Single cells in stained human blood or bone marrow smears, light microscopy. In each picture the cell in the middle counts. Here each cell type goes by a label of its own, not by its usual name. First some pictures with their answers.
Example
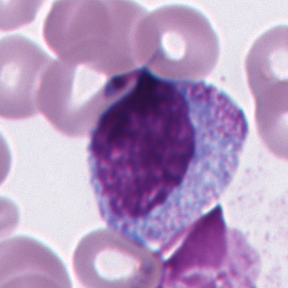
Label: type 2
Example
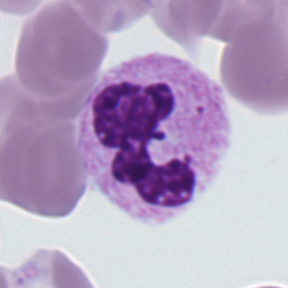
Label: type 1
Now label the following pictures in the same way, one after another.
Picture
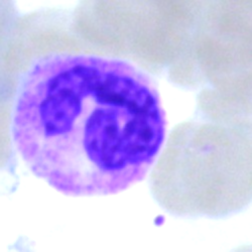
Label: type 1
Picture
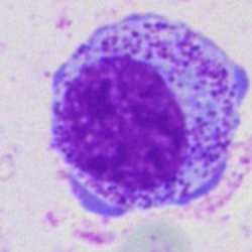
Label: type 2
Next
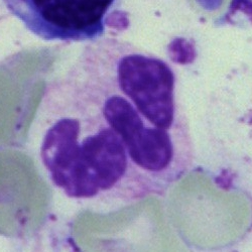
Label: type 1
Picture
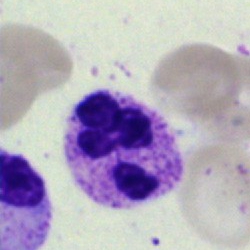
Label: type 1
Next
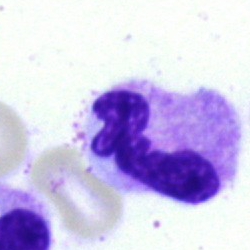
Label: type 1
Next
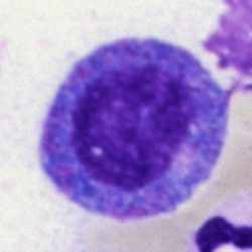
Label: type 2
